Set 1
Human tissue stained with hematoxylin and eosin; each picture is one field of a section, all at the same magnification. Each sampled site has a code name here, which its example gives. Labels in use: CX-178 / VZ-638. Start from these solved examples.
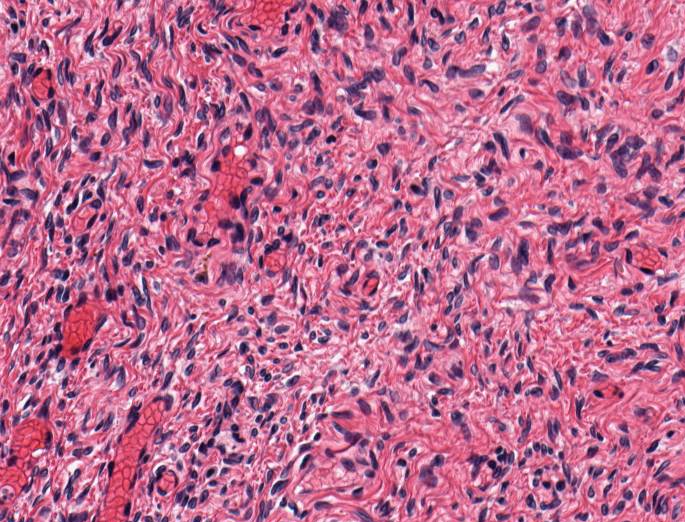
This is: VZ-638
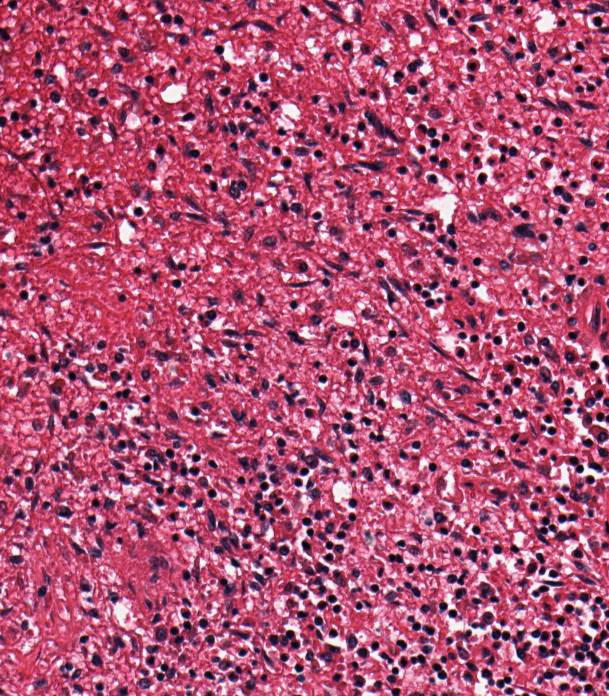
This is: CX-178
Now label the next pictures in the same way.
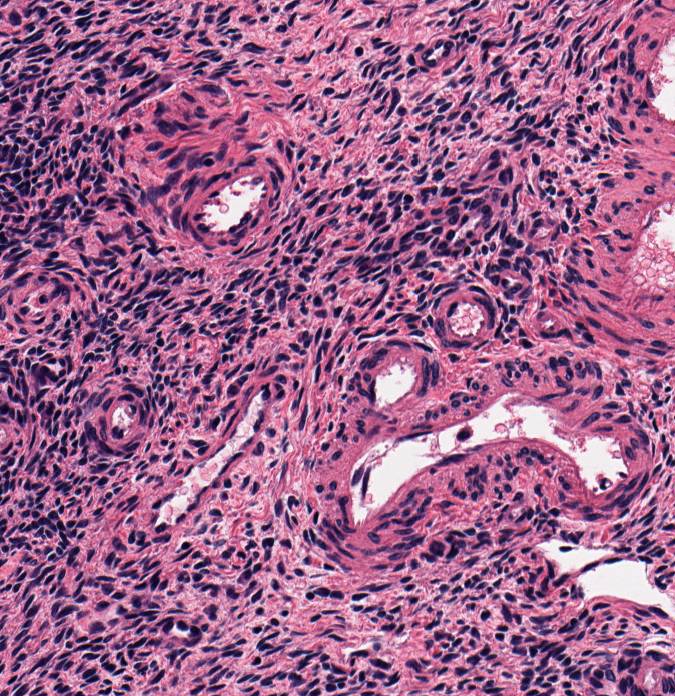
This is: VZ-638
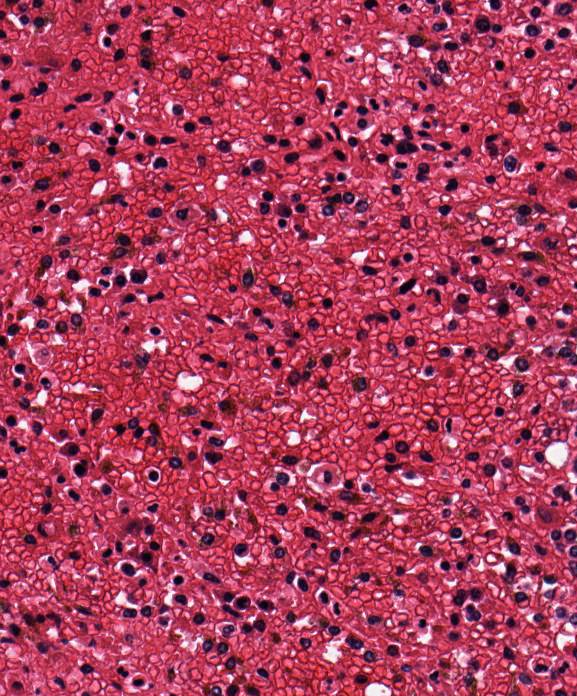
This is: CX-178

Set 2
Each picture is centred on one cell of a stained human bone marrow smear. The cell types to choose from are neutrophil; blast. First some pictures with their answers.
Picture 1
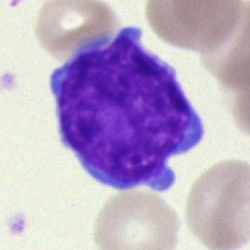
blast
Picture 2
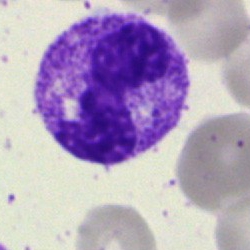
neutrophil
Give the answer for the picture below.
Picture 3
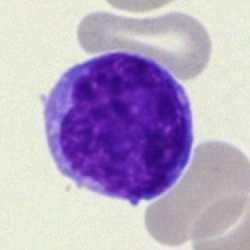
blast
